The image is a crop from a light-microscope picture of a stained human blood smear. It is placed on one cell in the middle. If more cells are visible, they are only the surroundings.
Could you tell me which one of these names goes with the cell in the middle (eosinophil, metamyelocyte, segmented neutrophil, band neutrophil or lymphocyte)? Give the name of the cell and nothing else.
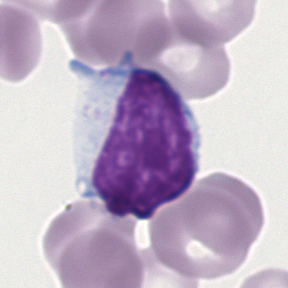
lymphocyte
